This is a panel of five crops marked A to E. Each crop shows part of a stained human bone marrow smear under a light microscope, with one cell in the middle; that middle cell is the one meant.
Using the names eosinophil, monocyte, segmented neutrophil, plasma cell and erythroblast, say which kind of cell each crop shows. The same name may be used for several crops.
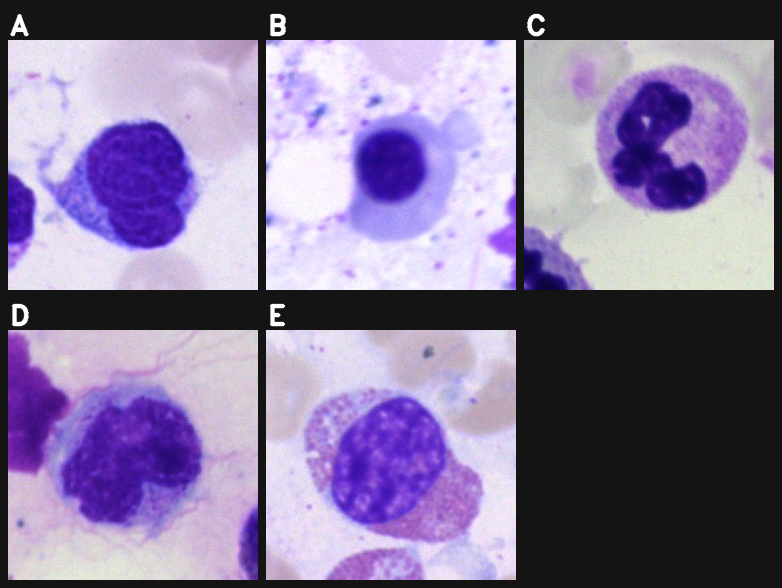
A: monocyte
B: erythroblast
C: segmented neutrophil
D: monocyte
E: eosinophil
